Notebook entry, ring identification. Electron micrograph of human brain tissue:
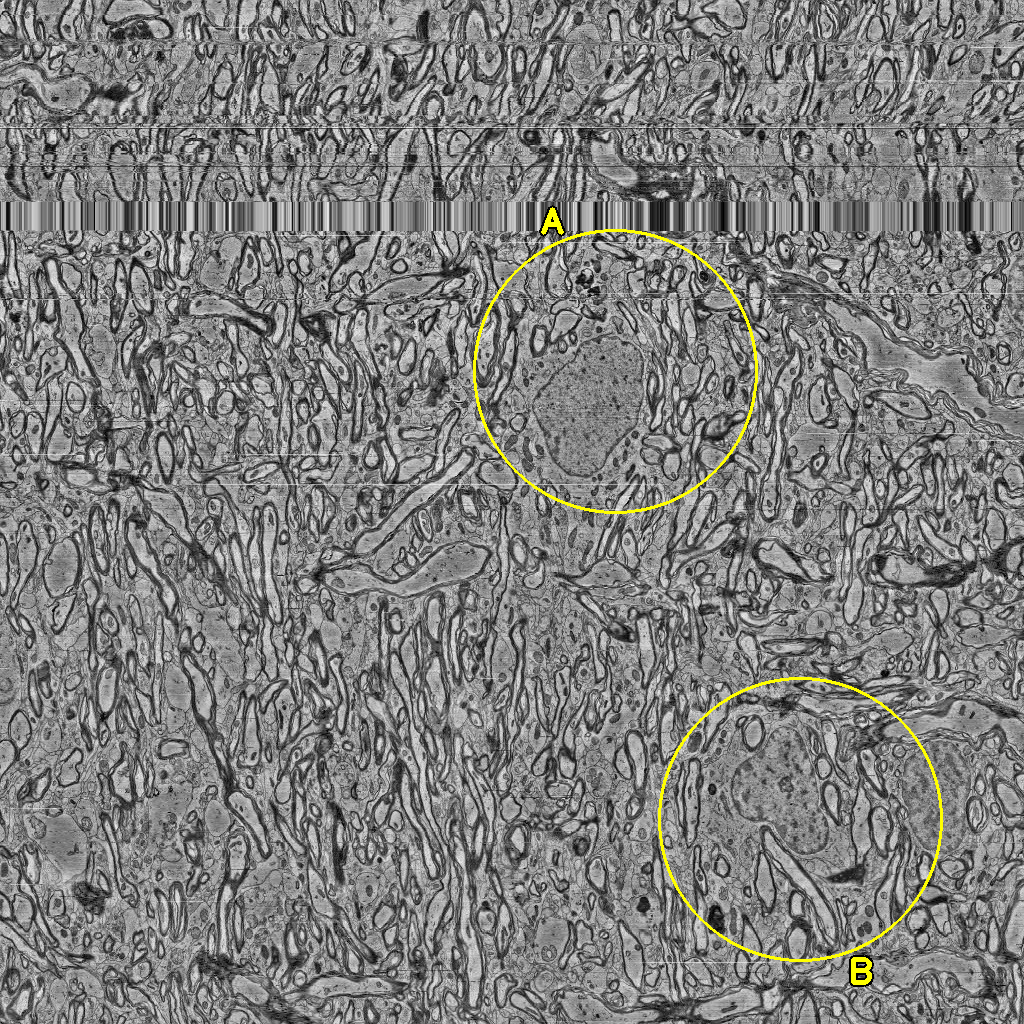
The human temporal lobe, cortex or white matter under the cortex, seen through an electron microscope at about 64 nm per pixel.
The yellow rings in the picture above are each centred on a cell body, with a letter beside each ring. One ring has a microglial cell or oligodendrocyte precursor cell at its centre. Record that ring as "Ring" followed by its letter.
Ring B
